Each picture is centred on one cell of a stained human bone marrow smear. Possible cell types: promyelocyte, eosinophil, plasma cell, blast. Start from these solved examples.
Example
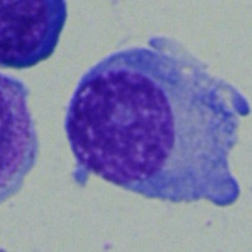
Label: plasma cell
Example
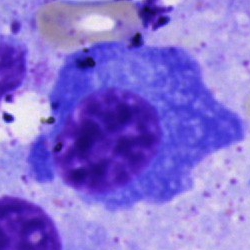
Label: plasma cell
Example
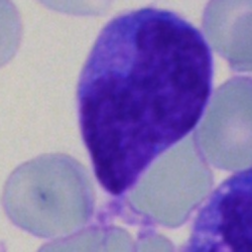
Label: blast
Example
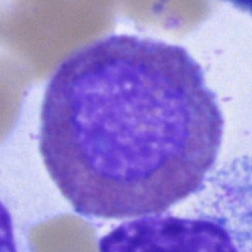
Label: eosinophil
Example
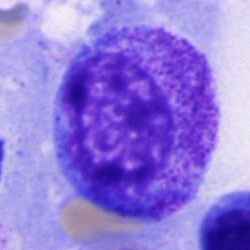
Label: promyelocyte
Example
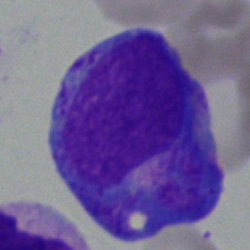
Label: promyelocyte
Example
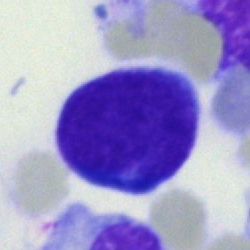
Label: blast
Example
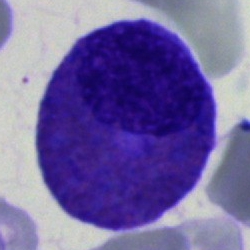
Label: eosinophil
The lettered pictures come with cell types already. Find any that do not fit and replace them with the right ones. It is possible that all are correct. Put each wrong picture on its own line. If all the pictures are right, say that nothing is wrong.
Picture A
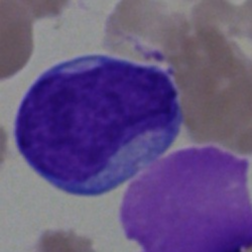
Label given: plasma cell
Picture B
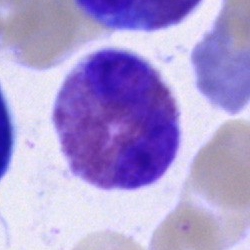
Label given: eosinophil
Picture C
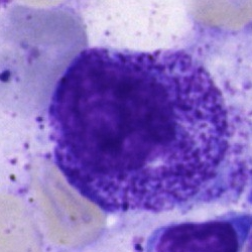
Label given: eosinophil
A: blast, not plasma cell
C: promyelocyte, not eosinophil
